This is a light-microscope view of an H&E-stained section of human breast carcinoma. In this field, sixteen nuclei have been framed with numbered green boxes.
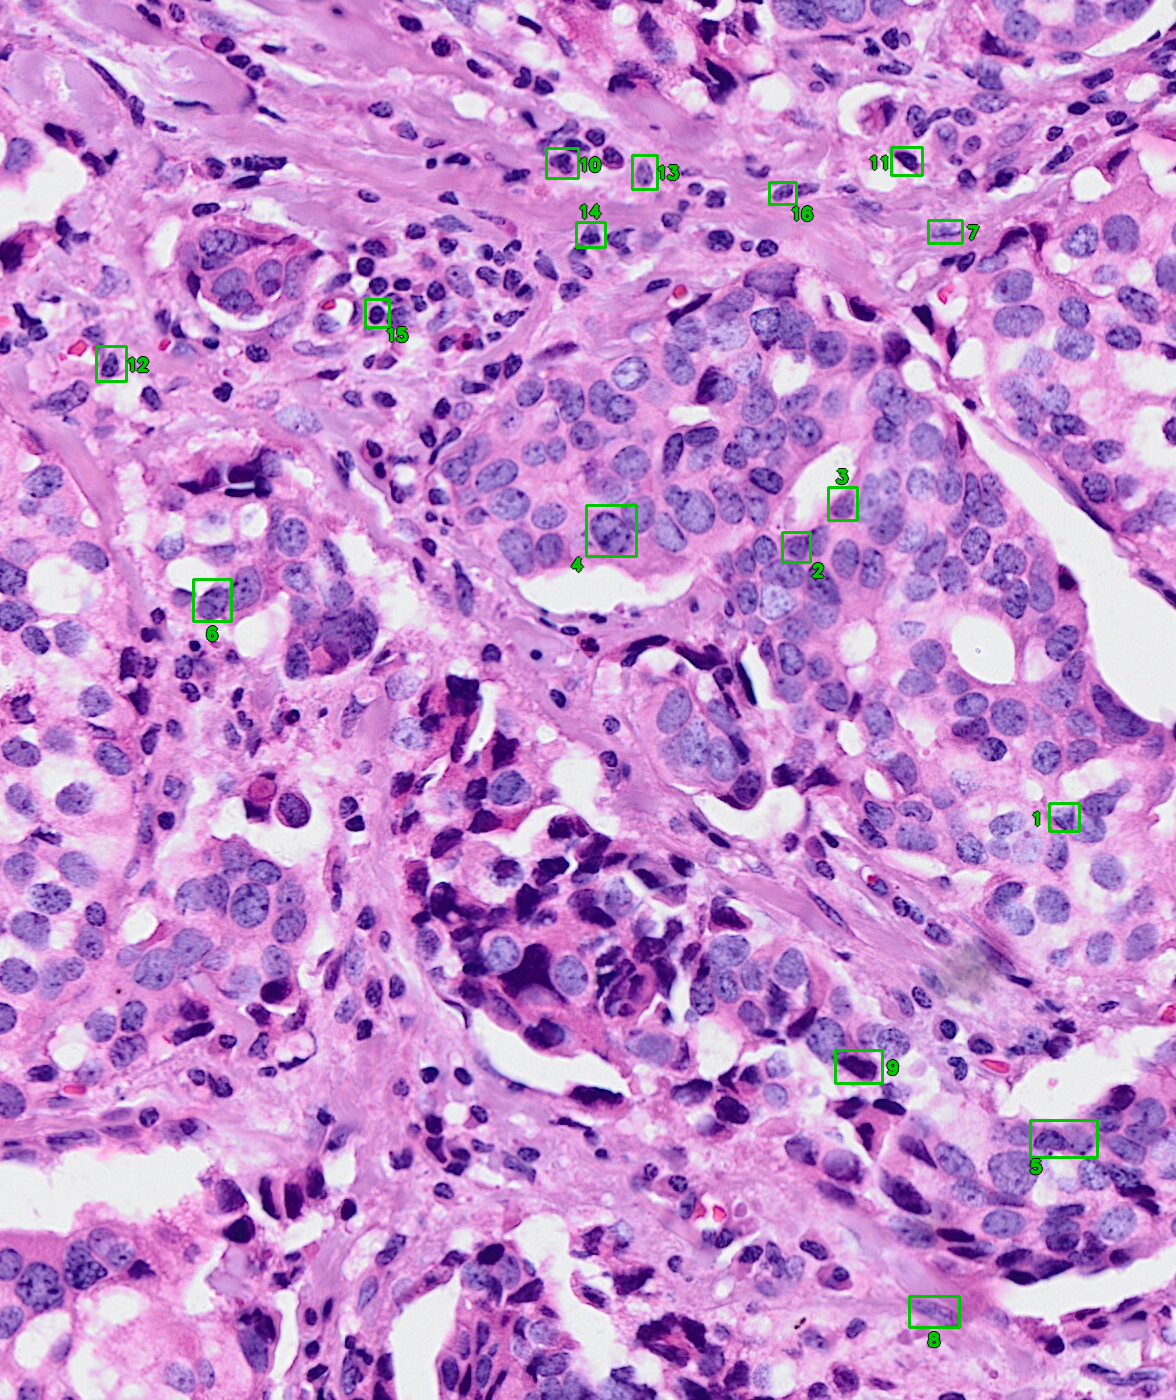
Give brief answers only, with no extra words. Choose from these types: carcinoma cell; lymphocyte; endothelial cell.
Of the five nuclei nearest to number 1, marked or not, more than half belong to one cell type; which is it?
carcinoma cell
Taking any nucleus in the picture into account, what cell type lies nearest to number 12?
endothelial cell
